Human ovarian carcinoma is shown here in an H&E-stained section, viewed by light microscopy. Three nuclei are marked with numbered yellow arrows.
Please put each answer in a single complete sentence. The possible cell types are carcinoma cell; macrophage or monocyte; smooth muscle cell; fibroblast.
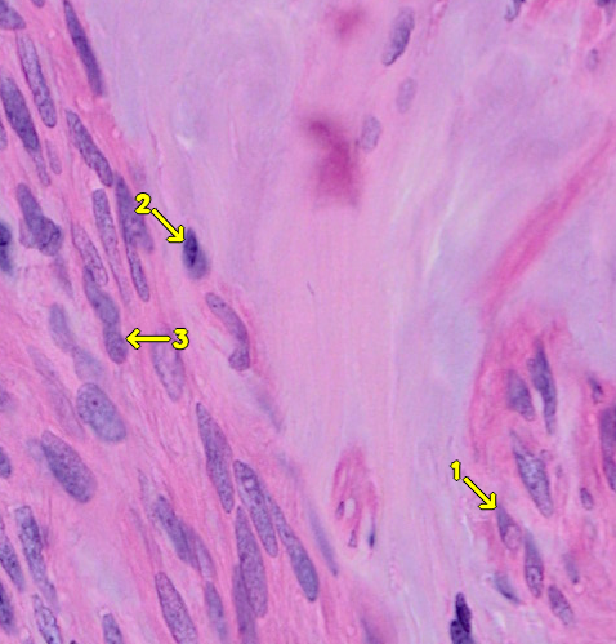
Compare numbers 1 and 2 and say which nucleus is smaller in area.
Number 1 is smaller, since number 2 takes up about 1.5 times as much area.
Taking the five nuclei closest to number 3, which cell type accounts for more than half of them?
Around number 3, most of the five nearest nuclei are those of smooth muscle cells.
